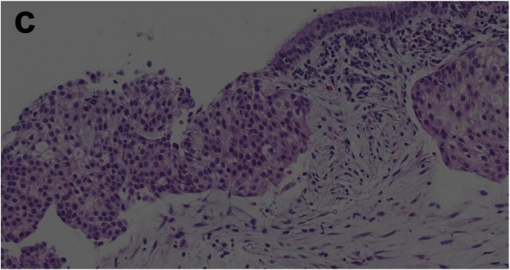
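Epithelioid tumor cells in sheets and nests beside a loose myxoid stroma. The tumor cells have round, fairly uniform nuclei and pale to clear cytoplasm. The stroma is pale and loosely textured with scattered spindle-shaped cells. At the upper right a covering epithelium runs along the surface, and the tumor cell groups lie close beneath it.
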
